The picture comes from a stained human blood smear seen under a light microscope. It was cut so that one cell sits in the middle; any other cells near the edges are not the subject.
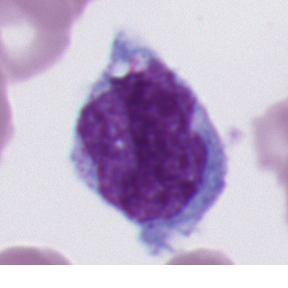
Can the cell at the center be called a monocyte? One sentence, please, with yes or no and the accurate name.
Yes, the cell at the middle is a monocyte.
